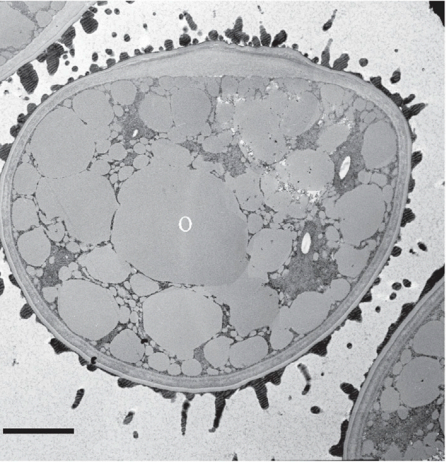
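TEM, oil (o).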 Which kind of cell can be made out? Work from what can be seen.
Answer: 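A single large rounded cell surrounded by a thick wall. The cytoplasm is packed with many large pale round droplets. Dark spines project from the outer surface of the wall. So: mature spore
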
